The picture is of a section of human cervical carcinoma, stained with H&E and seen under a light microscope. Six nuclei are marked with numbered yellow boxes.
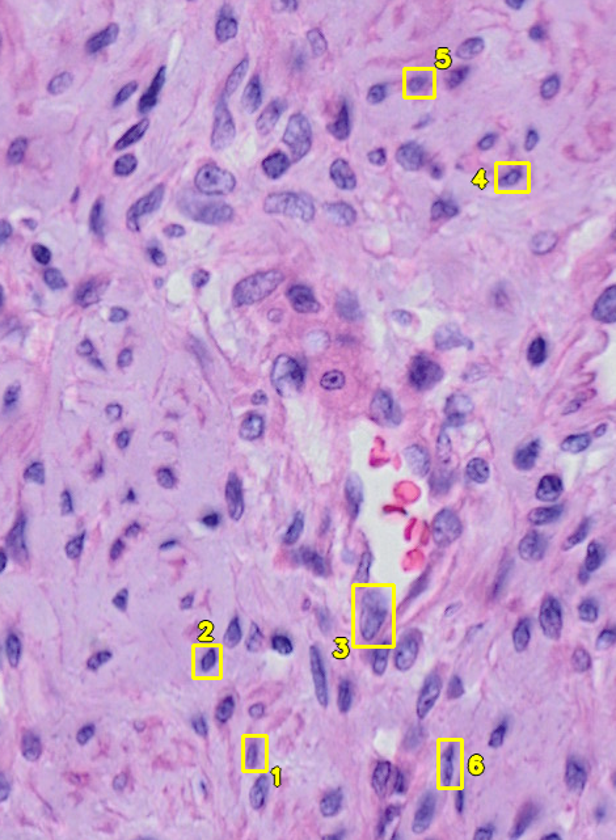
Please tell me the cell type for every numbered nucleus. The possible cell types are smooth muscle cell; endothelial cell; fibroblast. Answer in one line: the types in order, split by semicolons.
smooth muscle cell; fibroblast; endothelial cell; smooth muscle cell; smooth muscle cell; fibroblast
